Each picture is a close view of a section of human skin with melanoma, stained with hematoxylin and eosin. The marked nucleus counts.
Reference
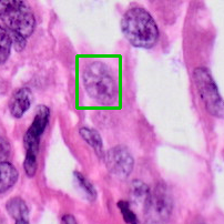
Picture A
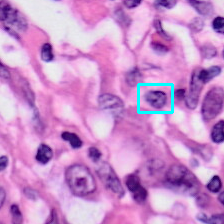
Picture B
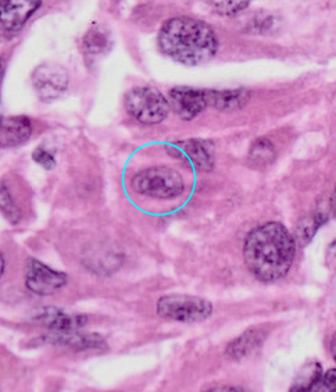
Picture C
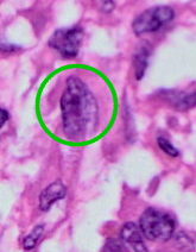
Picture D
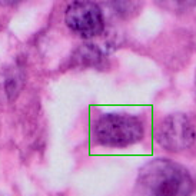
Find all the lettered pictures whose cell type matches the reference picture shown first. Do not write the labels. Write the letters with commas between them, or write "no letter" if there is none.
B, C, D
